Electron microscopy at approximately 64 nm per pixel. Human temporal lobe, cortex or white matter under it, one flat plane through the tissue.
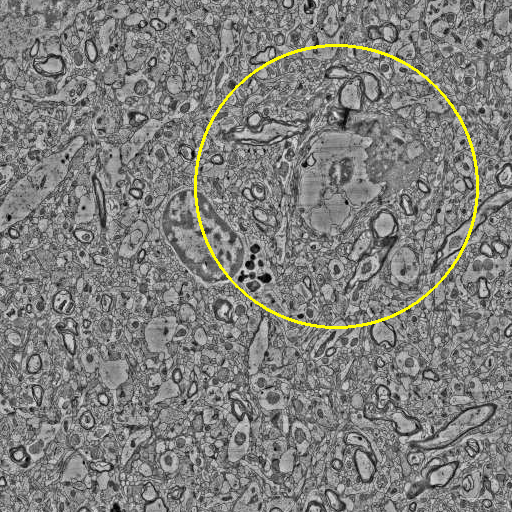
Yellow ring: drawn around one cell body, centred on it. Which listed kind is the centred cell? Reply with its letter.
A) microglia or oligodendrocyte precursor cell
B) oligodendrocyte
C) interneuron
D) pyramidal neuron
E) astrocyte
E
